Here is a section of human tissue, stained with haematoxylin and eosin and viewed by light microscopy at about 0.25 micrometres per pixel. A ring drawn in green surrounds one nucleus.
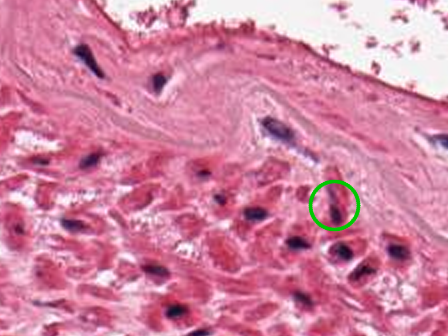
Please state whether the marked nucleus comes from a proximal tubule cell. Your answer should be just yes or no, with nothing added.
no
